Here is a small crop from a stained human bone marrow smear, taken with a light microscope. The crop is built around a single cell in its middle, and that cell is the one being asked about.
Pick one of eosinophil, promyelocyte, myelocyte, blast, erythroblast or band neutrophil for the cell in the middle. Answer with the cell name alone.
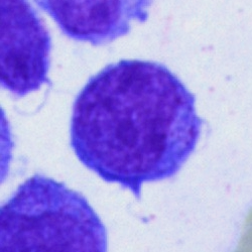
blast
